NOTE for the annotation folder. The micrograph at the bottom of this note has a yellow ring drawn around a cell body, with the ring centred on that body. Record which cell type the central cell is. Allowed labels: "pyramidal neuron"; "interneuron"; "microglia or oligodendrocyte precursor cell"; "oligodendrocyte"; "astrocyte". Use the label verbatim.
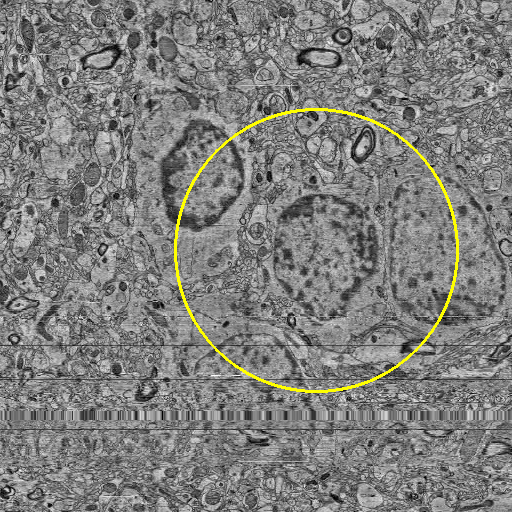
astrocyte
